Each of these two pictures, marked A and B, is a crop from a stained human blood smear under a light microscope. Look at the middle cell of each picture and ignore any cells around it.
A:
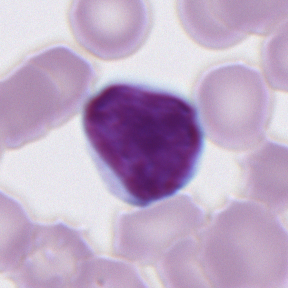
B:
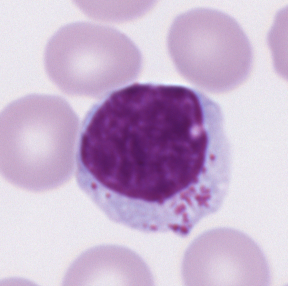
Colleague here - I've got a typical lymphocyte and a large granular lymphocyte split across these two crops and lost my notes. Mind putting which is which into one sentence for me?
Okay, so crop A is a typical lymphocyte and crop B is a large granular lymphocyte.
